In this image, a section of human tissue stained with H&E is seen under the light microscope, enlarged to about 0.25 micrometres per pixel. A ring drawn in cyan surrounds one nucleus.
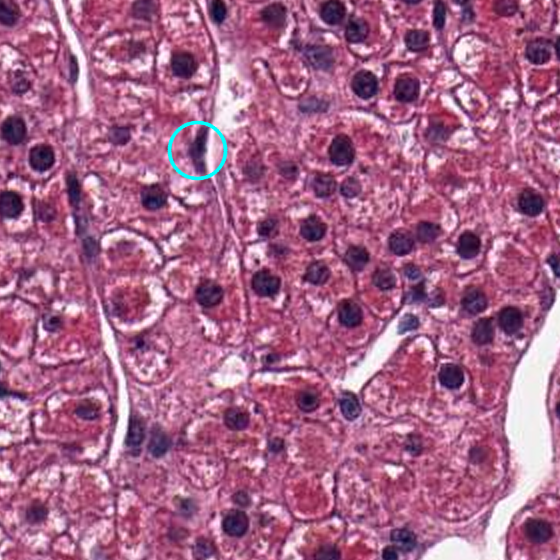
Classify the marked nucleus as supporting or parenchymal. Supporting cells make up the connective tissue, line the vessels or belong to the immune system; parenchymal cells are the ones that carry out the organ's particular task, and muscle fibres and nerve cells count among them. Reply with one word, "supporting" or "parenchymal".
supporting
